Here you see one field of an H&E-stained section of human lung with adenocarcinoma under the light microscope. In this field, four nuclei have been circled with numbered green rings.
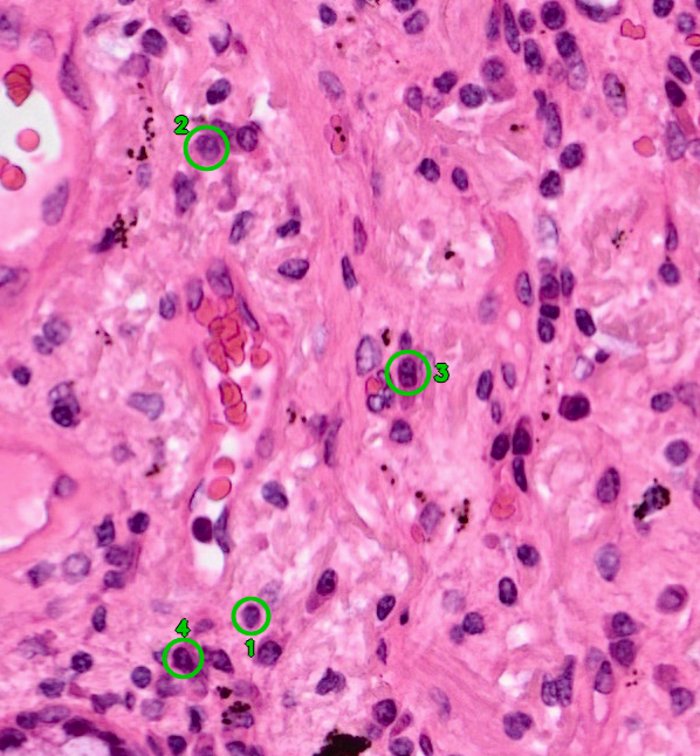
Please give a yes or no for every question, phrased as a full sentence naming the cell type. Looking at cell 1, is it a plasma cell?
No, cell 1 is a lymphocyte, not a plasma cell.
